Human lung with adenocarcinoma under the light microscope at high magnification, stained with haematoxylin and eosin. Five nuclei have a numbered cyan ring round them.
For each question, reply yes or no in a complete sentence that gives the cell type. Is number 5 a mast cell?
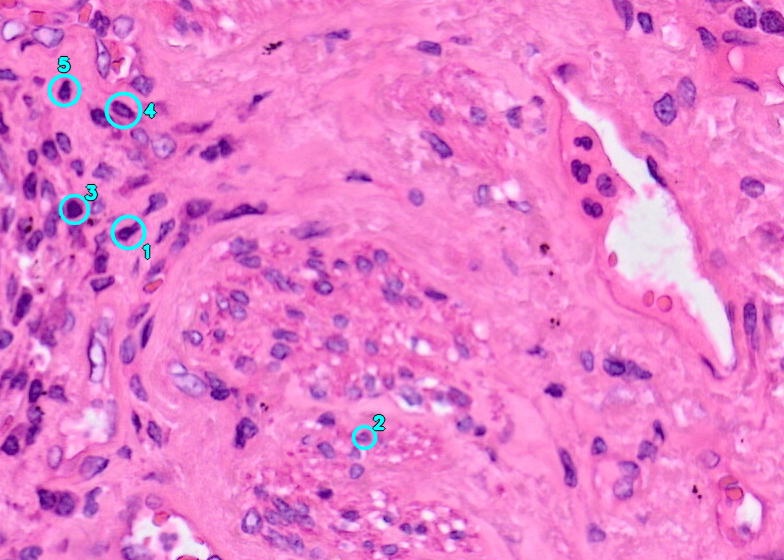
Yes, in this section the cell numbered 5 is a mast cell.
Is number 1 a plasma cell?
Yes, in the section, number 1 is a plasma cell.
